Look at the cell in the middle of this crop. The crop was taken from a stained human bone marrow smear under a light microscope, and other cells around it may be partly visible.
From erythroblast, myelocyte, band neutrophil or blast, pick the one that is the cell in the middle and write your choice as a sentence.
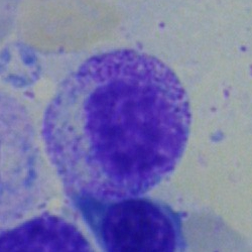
The cell found in the middle of this crop is a myelocyte.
